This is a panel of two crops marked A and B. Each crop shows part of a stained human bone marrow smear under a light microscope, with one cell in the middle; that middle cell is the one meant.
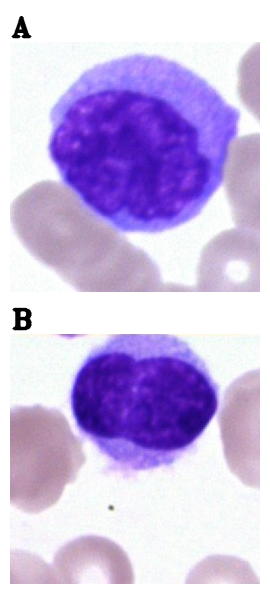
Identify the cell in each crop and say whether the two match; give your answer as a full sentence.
No, a monocyte is what occupies crop A, and a hairy cell is what occupies crop B.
